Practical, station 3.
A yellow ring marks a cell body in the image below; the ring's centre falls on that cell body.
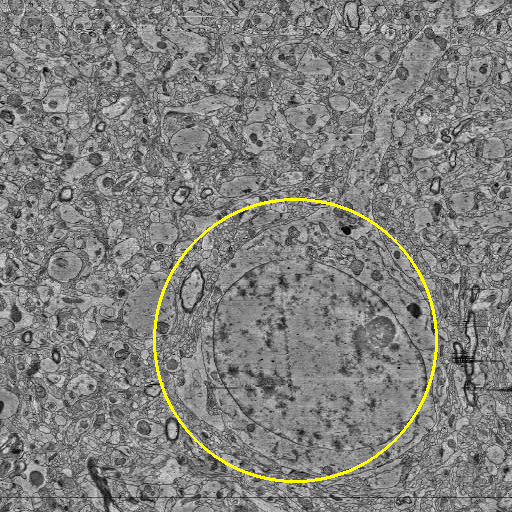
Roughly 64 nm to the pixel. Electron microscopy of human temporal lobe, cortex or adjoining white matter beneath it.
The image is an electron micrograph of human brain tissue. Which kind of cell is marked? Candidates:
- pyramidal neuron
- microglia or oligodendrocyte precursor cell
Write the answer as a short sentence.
The marked cell body is that of a pyramidal neuron.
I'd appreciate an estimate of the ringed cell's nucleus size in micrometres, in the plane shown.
The ringed cell's nucleus measures approximately 15 by 12 micrometres in this plane.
